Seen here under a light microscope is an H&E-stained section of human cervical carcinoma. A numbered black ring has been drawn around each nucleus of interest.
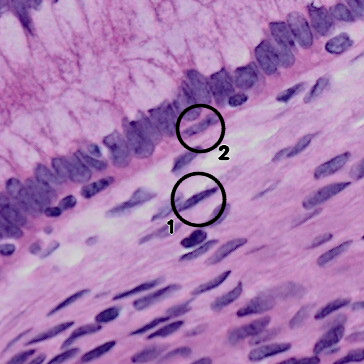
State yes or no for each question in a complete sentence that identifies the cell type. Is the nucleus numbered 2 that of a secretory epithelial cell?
Yes, the cell that bears the number 2 is a secretory epithelial cell.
